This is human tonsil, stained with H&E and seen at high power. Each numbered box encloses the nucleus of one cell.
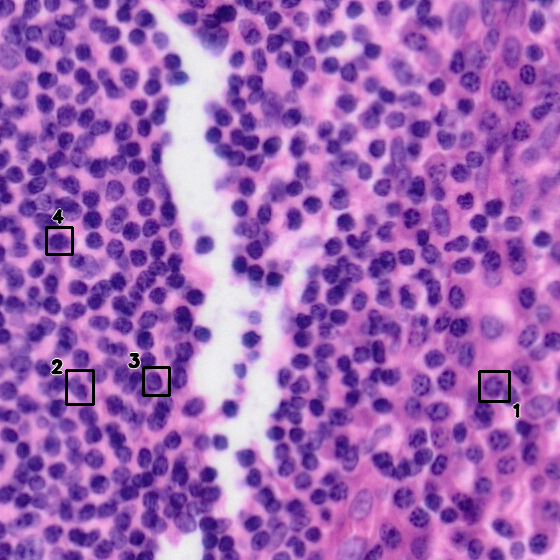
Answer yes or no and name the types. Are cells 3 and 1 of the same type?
No, the cell marked 3 is a small lymphocyte, and the cell marked 1 is a plasma cell.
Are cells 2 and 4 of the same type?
Yes, cells 2 and 4 are both counted as small lymphocytes.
